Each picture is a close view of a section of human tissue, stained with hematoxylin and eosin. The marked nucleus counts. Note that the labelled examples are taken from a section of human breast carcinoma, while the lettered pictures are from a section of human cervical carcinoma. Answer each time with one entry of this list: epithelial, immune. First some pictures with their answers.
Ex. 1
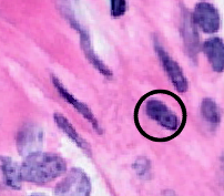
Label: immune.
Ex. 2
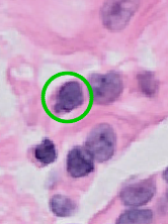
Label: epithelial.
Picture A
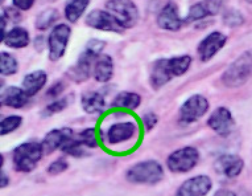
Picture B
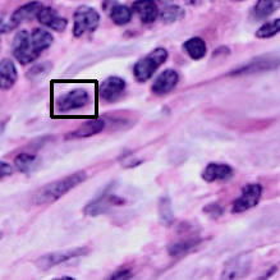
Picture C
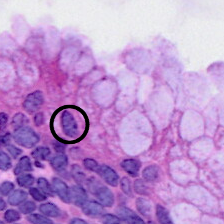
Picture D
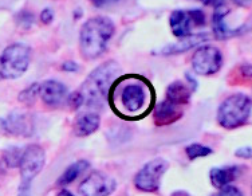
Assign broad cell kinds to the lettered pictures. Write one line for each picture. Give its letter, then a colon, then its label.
A: immune.
B: immune.
C: epithelial.
D: immune.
